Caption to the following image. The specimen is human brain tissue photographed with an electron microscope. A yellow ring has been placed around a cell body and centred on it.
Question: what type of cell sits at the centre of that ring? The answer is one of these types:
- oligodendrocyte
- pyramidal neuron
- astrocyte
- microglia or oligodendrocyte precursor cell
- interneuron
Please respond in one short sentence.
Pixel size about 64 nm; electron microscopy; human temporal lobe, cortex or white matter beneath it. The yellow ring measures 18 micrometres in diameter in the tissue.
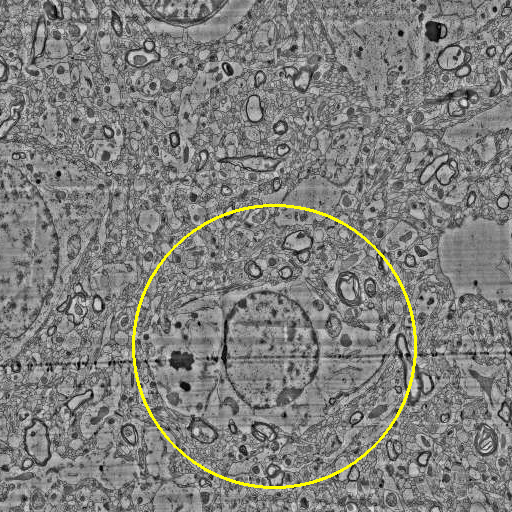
The ring surrounds the cell body of an astrocyte.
